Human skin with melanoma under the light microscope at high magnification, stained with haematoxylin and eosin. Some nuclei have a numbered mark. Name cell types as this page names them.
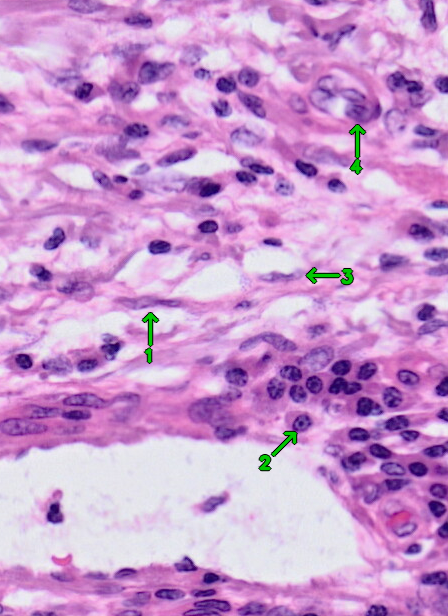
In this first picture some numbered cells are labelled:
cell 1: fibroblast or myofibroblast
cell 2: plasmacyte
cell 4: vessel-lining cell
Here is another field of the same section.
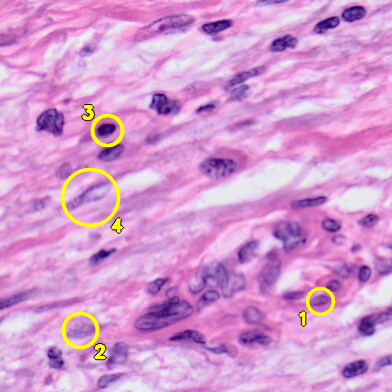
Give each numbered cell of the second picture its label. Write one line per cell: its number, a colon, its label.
1: vessel-lining cell
2: fibroblast or myofibroblast
3: plasmacyte
4: fibroblast or myofibroblast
